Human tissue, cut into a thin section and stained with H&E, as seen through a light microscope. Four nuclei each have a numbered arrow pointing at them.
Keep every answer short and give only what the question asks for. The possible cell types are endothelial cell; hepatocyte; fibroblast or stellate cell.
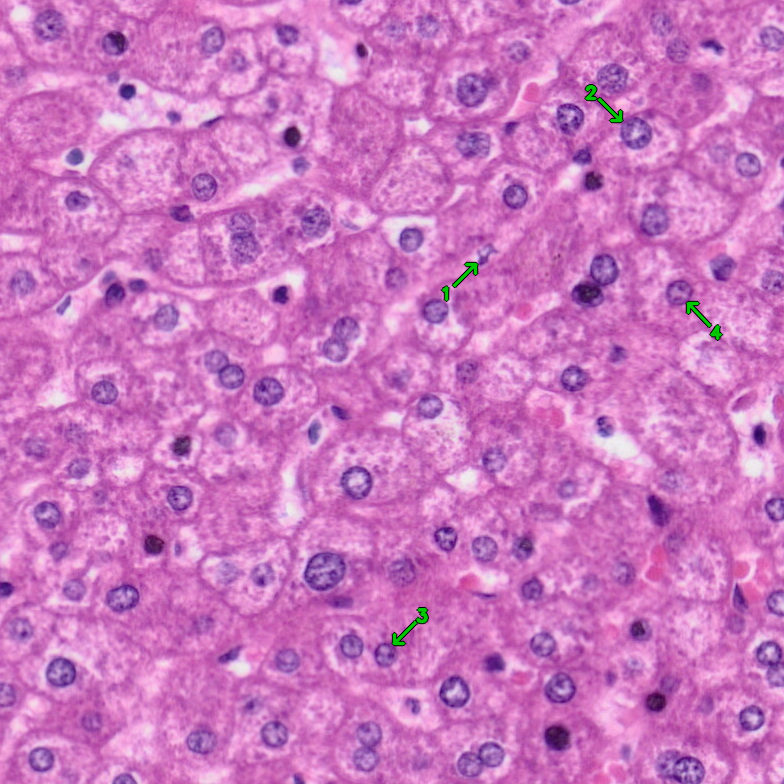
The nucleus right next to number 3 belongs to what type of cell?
hepatocyte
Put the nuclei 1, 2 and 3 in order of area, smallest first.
1, 3, 2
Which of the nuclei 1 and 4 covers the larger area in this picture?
4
